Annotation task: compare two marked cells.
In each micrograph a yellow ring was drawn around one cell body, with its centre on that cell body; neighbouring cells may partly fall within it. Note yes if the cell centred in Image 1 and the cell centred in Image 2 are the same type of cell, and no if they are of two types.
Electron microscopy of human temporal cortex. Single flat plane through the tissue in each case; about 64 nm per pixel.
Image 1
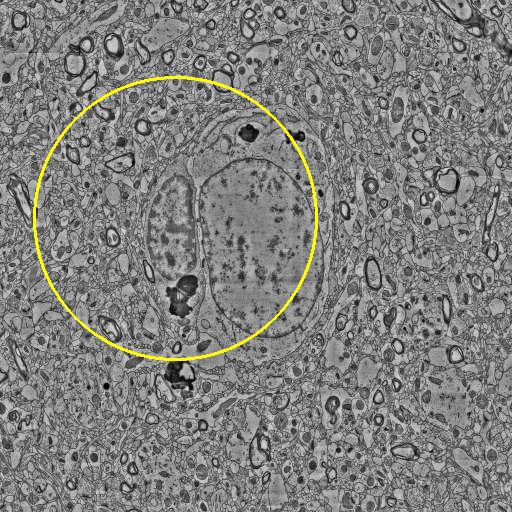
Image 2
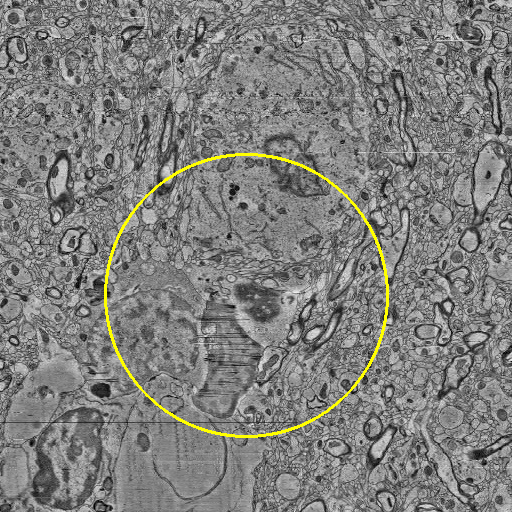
yes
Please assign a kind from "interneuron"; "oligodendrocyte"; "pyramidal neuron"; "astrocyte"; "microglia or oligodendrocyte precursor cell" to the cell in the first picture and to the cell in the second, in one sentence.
The cell in the first picture is an oligodendrocyte, and so is the one in the second.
